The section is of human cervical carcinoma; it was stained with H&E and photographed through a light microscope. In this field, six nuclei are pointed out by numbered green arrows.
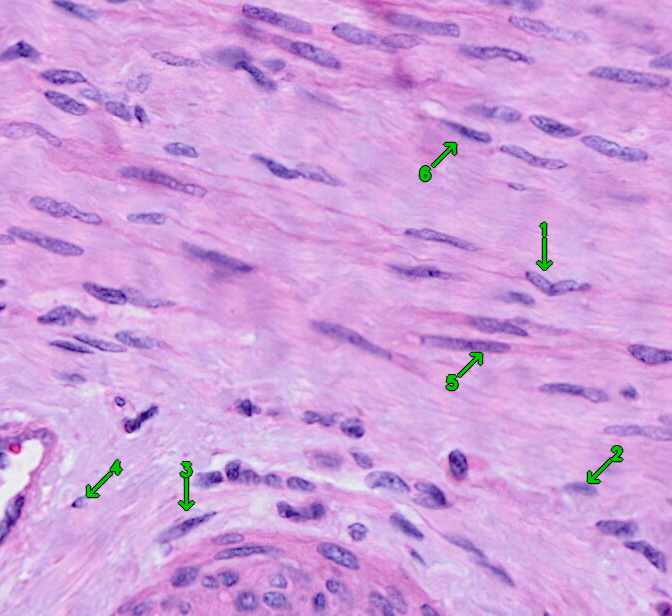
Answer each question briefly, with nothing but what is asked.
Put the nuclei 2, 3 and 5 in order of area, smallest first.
2, 5, 3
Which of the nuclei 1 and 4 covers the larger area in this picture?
1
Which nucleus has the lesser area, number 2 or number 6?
2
